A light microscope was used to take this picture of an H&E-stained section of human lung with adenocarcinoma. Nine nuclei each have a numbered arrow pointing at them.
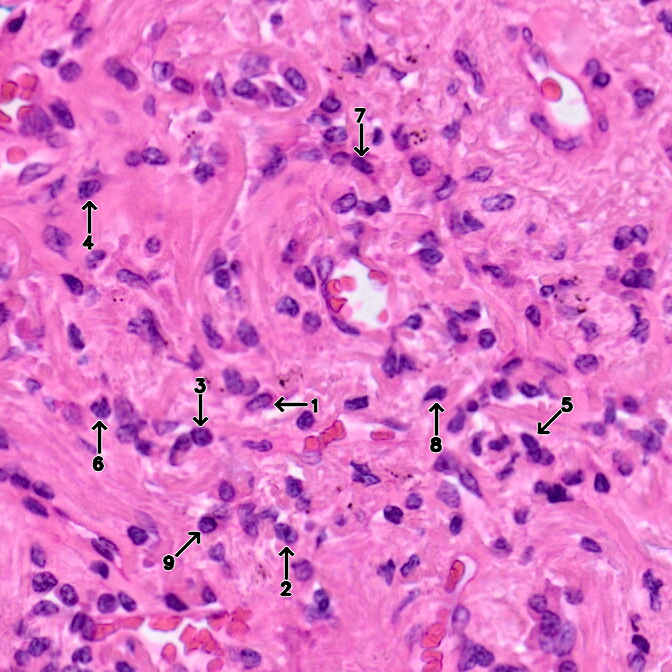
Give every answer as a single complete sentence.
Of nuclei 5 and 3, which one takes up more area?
Number 3 is larger; its area is about 1.5 times that of number 5.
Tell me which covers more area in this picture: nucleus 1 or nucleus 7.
The larger nucleus is 1, at roughly 2 times the area of 7.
